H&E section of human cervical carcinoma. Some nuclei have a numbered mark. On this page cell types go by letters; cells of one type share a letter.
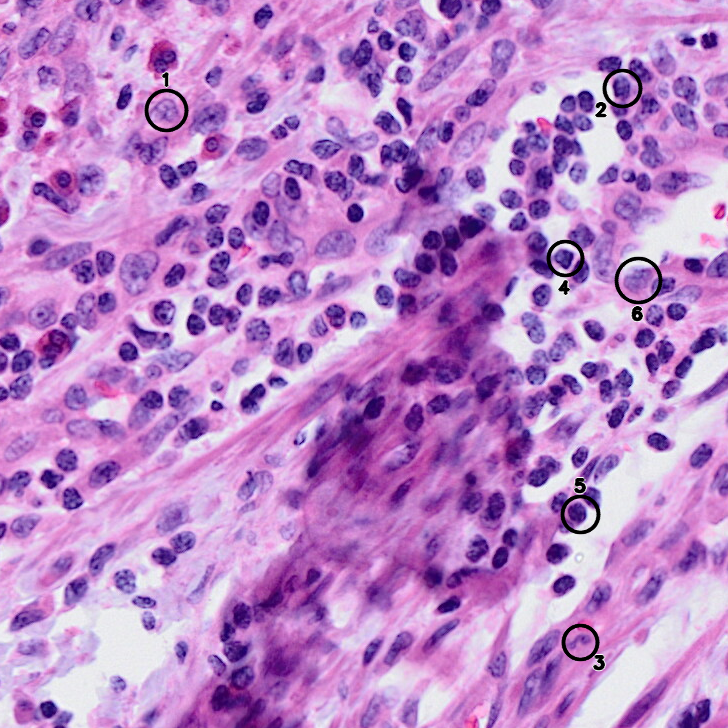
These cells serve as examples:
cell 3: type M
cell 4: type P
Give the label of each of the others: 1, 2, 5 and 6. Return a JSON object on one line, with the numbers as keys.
{"1": "type M", "2": "type P", "5": "type P", "6": "type M"}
